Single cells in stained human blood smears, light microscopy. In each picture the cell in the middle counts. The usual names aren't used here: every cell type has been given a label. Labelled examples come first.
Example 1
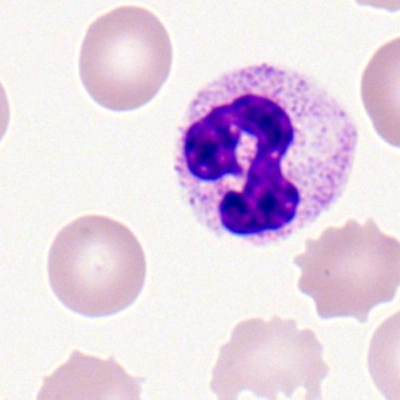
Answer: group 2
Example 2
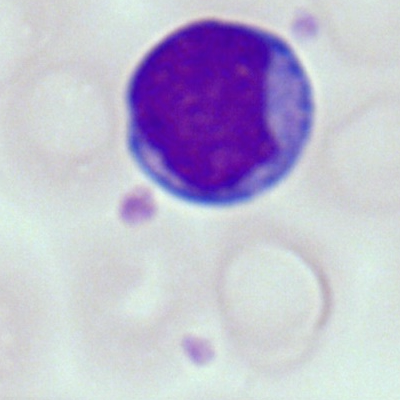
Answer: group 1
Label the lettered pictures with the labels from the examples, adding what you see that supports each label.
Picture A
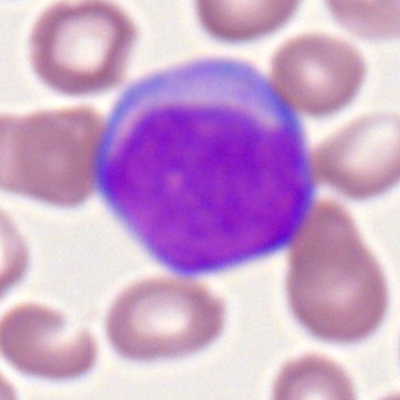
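Label: group 1. The cytoplasm is blue.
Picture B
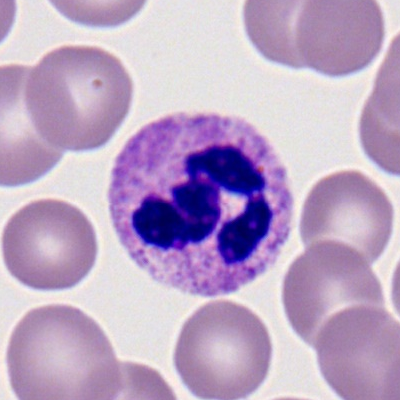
Label: group 2. The cytoplasm is plentiful and pale pinkish-lilac.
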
